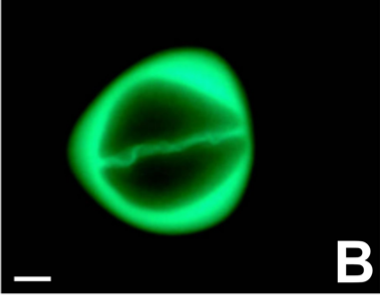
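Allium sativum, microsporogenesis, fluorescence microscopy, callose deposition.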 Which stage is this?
Dyad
